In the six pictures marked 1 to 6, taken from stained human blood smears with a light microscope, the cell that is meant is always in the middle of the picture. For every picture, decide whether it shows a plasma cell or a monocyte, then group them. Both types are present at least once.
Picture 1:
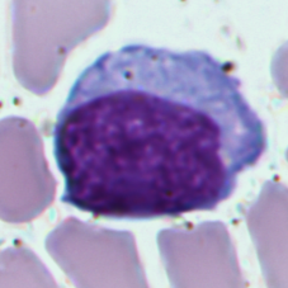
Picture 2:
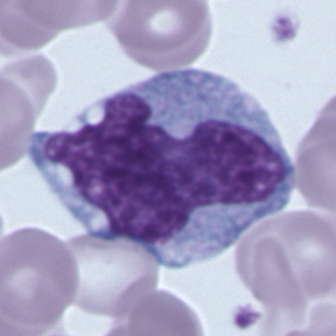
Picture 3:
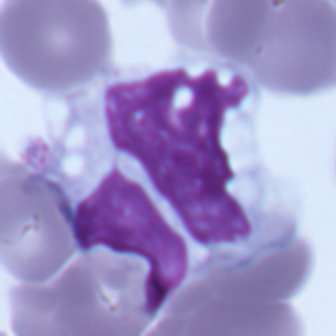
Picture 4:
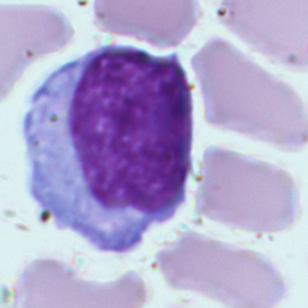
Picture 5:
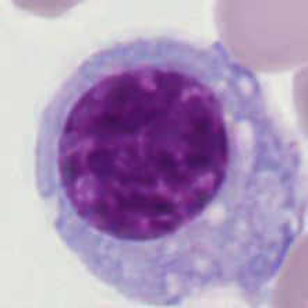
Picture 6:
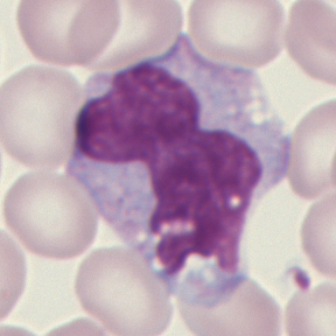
1: plasma cell
2: monocyte
3: monocyte
4: plasma cell
5: plasma cell
6: monocyte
